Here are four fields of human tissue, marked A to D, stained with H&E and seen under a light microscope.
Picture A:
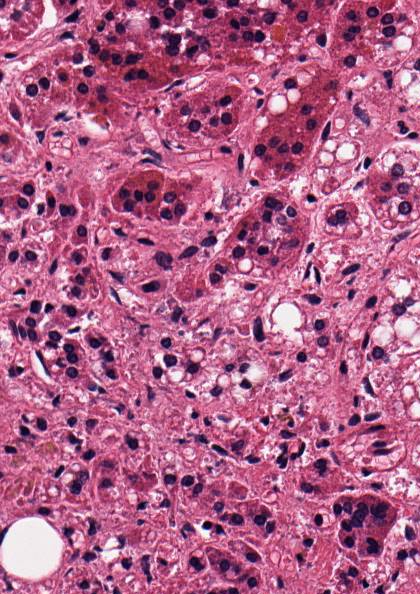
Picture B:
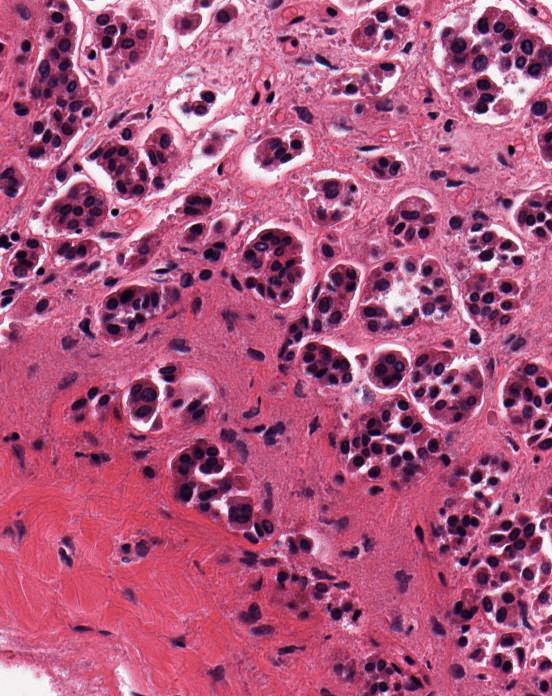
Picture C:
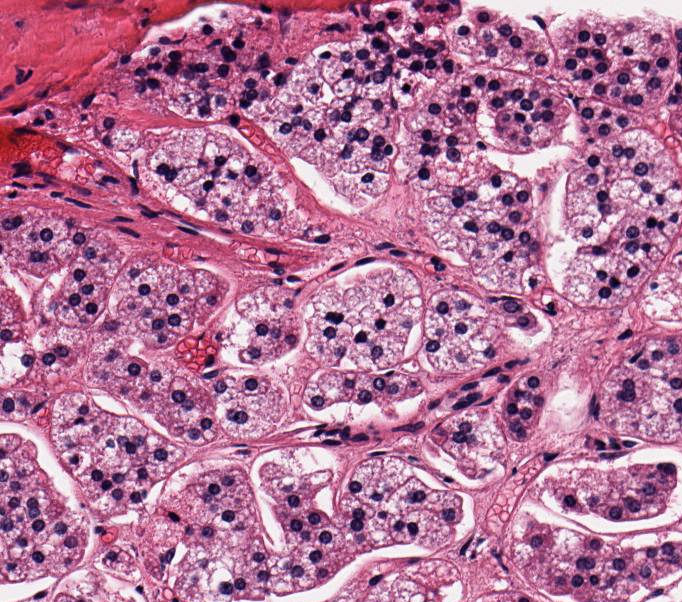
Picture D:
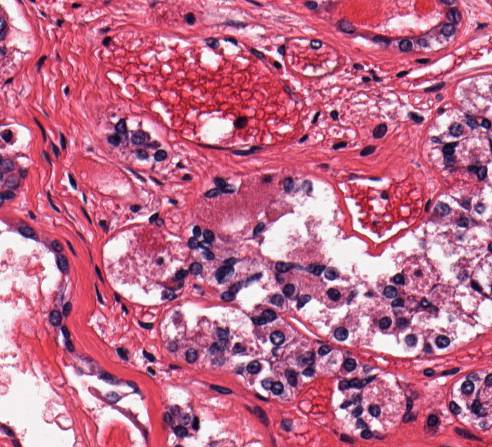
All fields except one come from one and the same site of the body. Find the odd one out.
D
